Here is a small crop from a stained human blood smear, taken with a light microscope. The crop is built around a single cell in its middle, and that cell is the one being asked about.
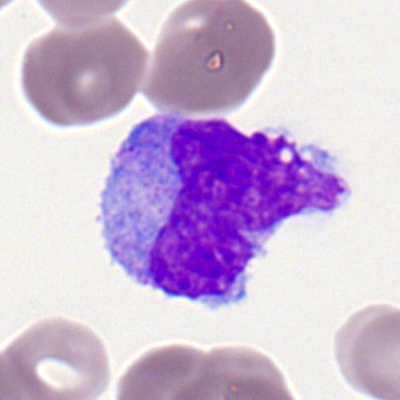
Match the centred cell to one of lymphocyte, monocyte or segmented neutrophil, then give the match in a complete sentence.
Positioned in the middle of the crop is a monocyte.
